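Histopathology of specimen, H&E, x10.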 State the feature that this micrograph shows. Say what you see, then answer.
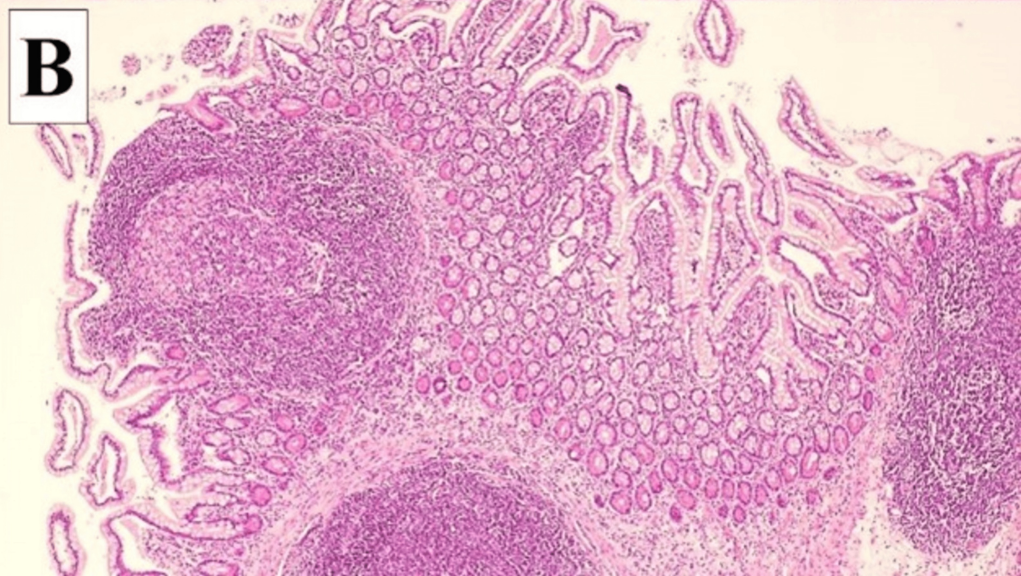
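Several round, densely packed aggregates of small dark-staining cells sit in the mucosa. The follicle at left has a paler central zone rimmed by a darker cuff. The aggregates lie among crypts and beneath villi. That points to this answer: reactive lymphoid follicles with prominent germinal center.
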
